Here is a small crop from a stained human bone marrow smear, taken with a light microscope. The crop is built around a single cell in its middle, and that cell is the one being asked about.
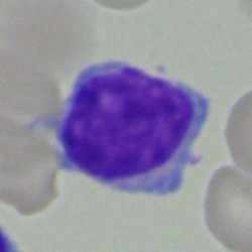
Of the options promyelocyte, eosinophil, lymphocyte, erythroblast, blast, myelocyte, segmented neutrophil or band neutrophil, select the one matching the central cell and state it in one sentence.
Seen at the centre of the crop is a lymphocyte.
